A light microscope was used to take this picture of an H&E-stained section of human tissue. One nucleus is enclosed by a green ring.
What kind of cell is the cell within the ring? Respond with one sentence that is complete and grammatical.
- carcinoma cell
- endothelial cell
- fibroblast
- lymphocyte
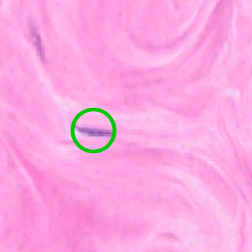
In this preparation, the cell within the ring is a fibroblast.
